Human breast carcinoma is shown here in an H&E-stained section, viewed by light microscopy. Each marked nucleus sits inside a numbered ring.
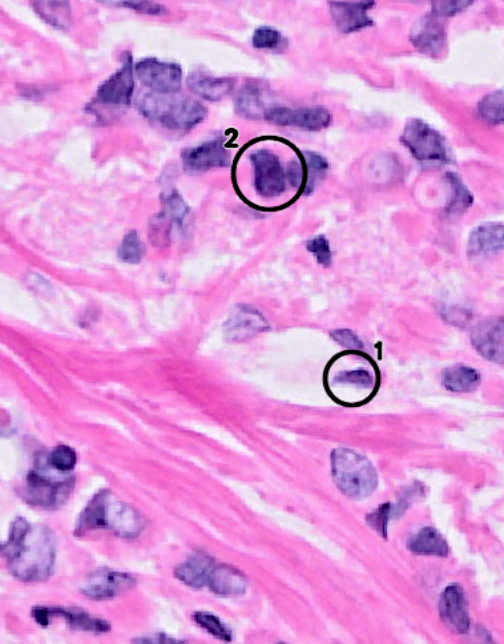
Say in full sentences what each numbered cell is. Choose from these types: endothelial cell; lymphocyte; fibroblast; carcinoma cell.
Cell 1 is a fibroblast. Cell 2 is a carcinoma cell.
